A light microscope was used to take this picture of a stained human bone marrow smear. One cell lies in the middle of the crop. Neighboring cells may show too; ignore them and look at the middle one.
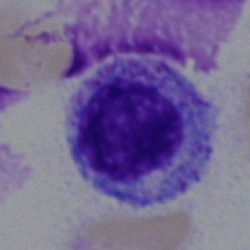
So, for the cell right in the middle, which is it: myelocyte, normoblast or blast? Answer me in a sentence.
The cell in the middle of the field of view is a myelocyte.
